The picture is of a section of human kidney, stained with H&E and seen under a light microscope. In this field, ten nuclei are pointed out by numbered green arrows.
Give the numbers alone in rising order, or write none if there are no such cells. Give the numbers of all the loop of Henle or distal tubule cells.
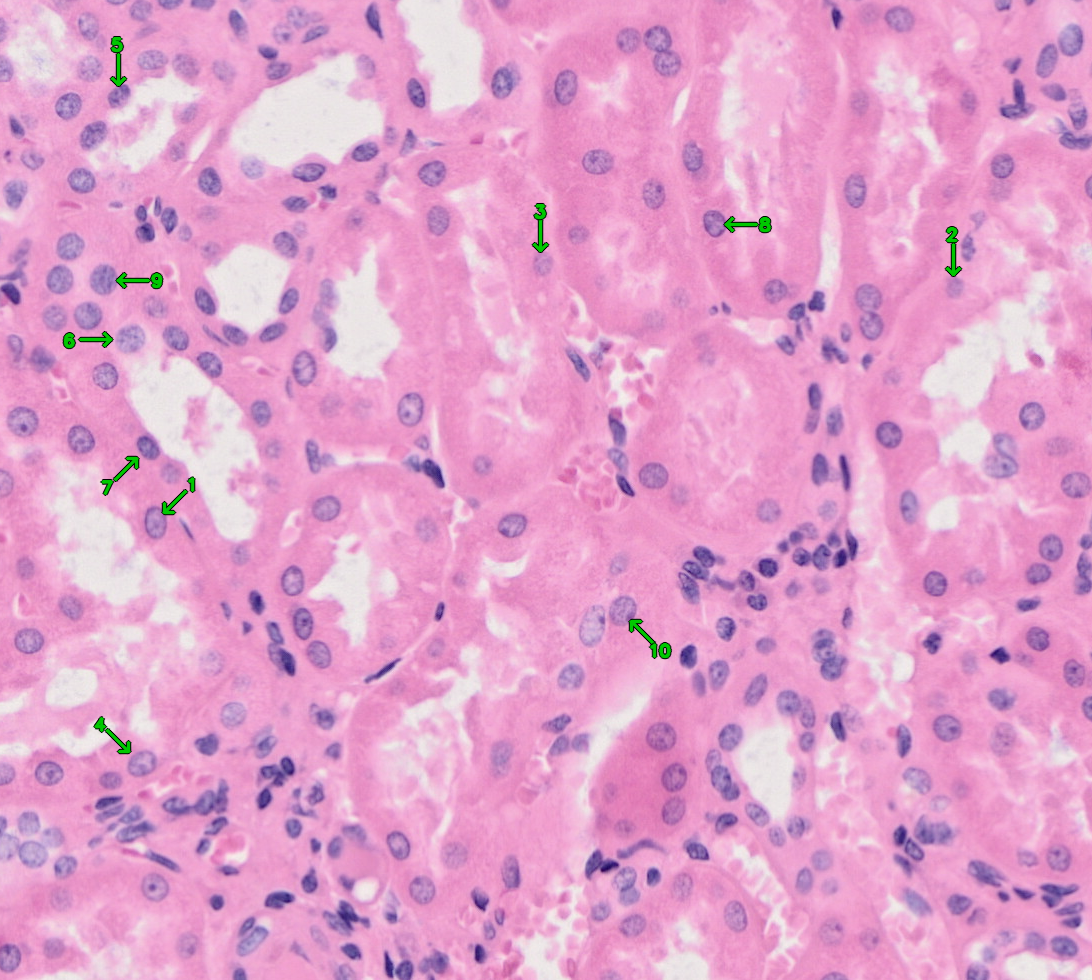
5, 6, 7, 9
